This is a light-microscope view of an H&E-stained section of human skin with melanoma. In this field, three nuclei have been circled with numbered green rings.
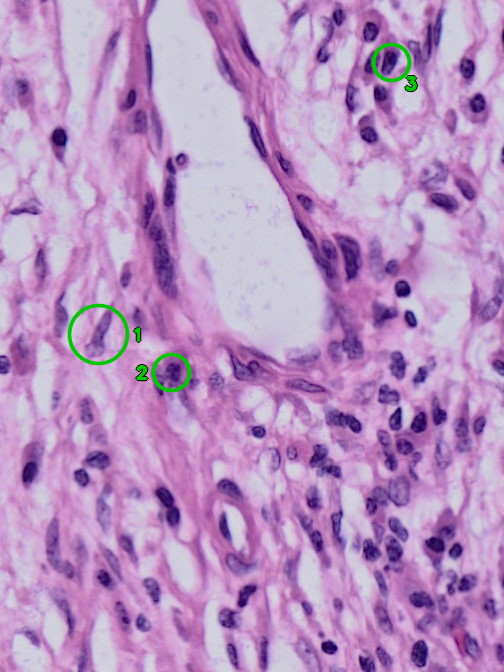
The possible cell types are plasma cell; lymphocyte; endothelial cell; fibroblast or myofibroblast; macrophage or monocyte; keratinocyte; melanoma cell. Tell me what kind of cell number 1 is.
fibroblast or myofibroblast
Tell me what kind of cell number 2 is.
plasma cell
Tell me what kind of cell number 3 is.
plasma cell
